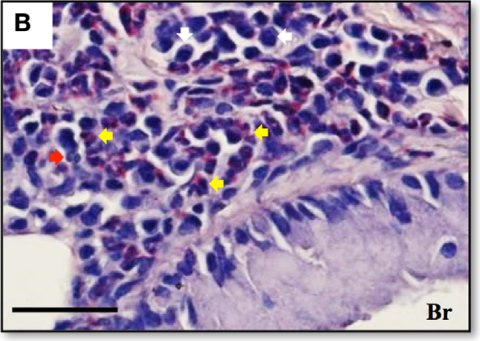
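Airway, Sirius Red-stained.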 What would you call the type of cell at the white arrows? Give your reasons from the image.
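Mononuclear cell. The marked cells have a single round, dark blue nucleus. They have little cytoplasm and no red granules.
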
